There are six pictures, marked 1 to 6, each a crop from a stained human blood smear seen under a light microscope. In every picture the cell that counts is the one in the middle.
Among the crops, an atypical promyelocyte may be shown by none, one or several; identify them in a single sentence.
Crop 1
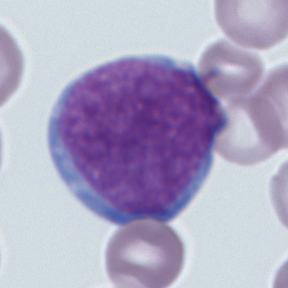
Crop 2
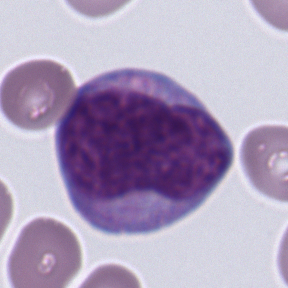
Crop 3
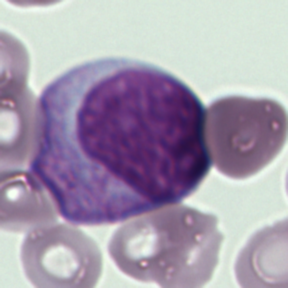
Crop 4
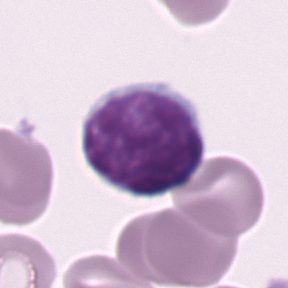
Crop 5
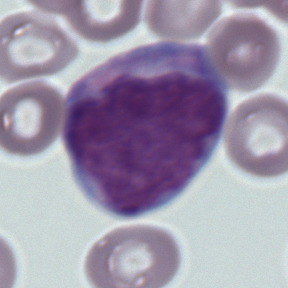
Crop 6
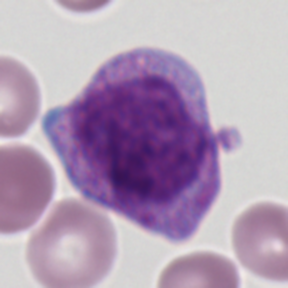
The central cells of crops 2, 3, 5 and 6 are identified as atypical promyelocytes.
